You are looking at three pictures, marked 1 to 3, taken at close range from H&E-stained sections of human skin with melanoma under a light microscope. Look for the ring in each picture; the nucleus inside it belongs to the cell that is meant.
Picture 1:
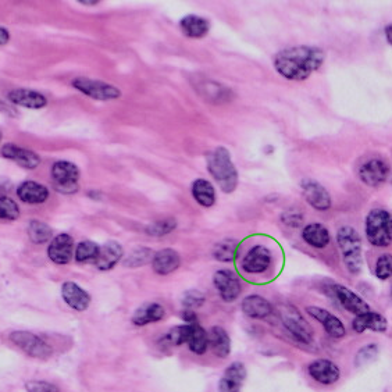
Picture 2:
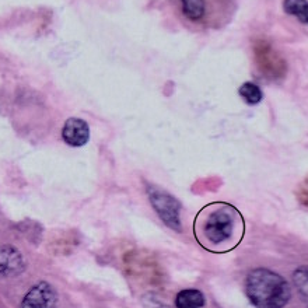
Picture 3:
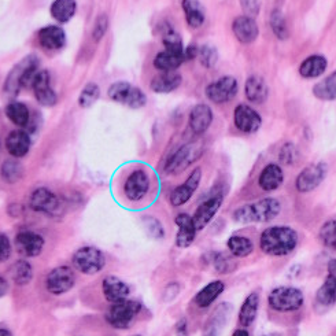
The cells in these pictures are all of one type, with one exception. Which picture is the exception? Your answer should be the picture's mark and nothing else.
2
